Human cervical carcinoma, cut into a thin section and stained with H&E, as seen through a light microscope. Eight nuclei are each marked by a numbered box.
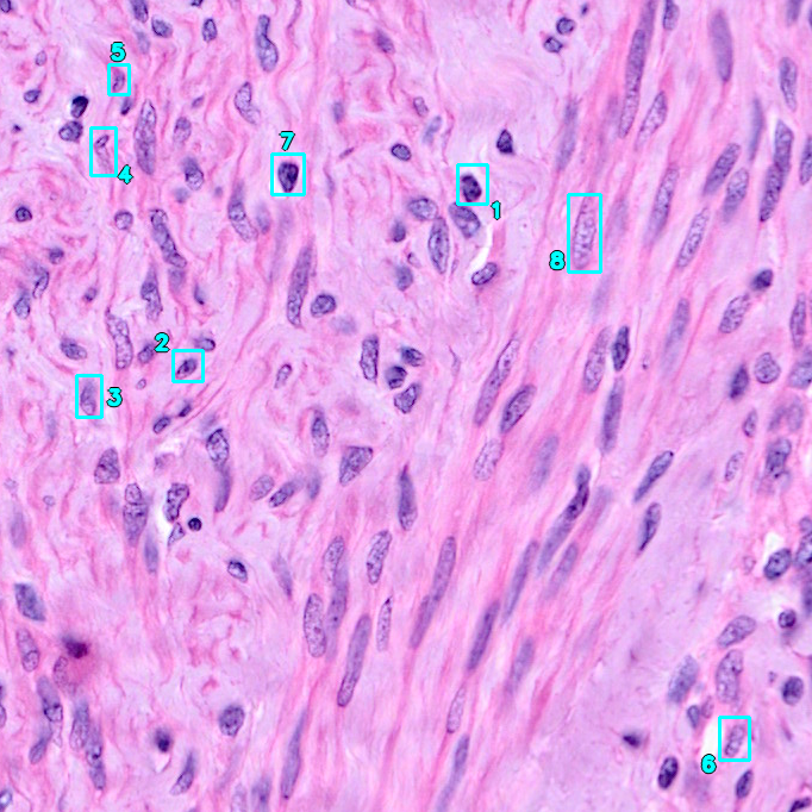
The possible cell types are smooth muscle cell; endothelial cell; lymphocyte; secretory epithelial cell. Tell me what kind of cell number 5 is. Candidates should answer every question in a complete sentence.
The cell assigned the number 5 is a smooth muscle cell.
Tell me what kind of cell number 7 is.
In the tissue shown, cell 7 is a lymphocyte.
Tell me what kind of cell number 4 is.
Cell 4 is classified as a smooth muscle cell.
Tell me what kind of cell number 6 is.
In the tissue shown, cell 6 is an endothelial cell.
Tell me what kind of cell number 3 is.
Of the numbered cells, the one labelled 3 is a smooth muscle cell.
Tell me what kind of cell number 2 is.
The marked cell with the number 2 is recognised as a smooth muscle cell.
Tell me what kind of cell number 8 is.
The correct answer for cell 8 is a smooth muscle cell.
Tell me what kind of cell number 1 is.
The nucleus marked 1 is the nucleus of a lymphocyte.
